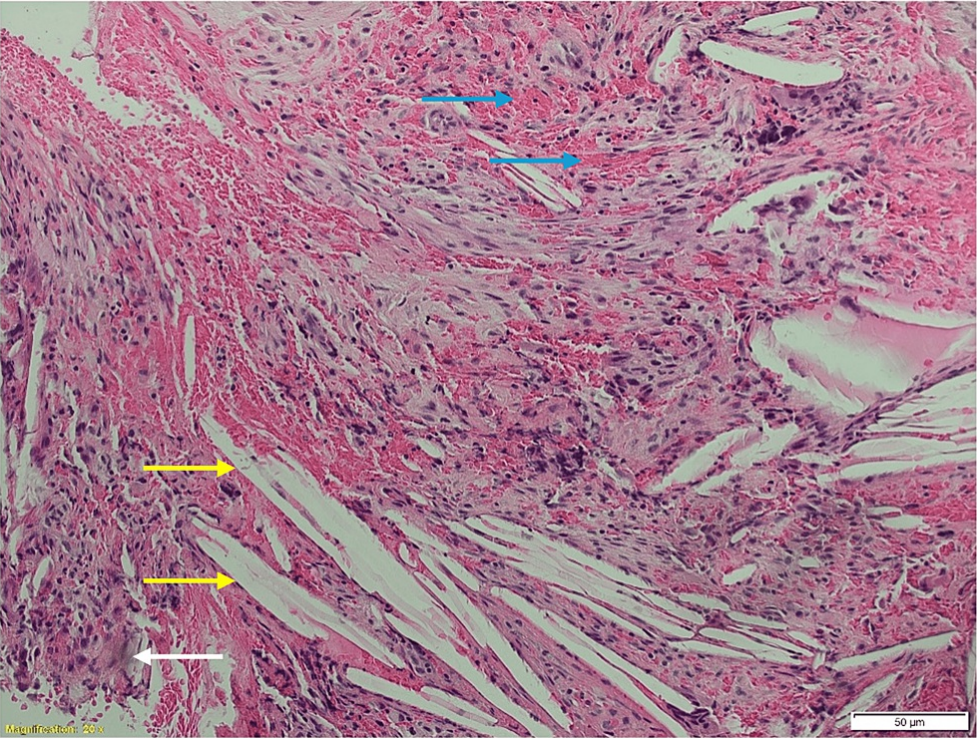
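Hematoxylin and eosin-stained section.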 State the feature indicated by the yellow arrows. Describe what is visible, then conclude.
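Cholesterol clefts. Long, narrow, needle-shaped empty spaces with pointed ends. The spaces lie in parallel bundles within cellular tissue. The spaces are pale and unstained.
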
